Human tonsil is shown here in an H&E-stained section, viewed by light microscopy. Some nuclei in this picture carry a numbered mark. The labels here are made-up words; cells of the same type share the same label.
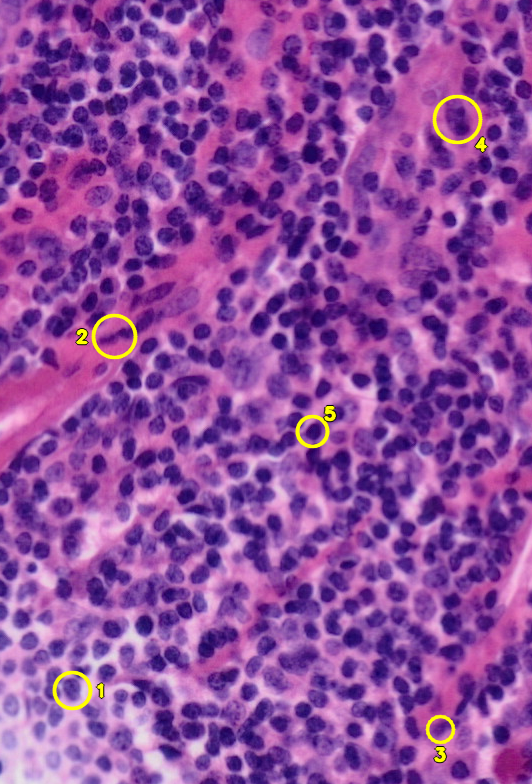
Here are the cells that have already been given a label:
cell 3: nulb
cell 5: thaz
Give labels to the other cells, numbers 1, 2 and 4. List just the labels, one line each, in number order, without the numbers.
thaz
nulb
nulb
